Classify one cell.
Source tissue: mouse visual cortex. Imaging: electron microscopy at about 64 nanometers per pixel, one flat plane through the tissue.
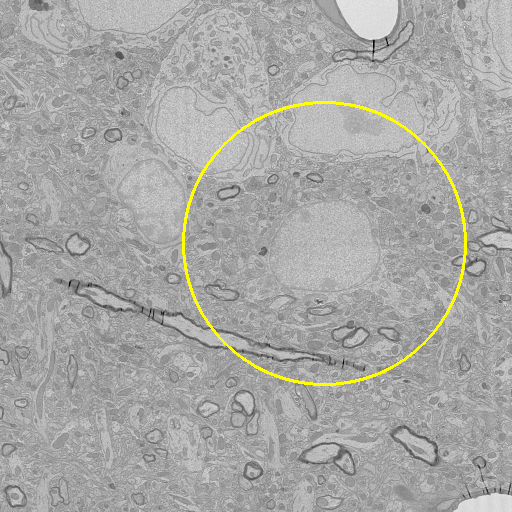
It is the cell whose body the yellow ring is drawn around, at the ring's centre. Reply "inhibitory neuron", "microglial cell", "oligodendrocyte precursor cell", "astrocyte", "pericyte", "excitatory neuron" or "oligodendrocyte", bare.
astrocyte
